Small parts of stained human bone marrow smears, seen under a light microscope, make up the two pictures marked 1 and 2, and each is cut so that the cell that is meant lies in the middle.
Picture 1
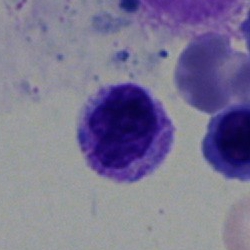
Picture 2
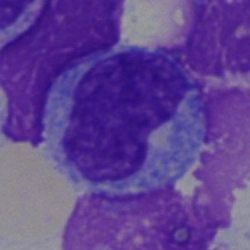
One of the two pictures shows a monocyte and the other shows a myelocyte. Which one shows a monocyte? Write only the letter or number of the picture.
2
